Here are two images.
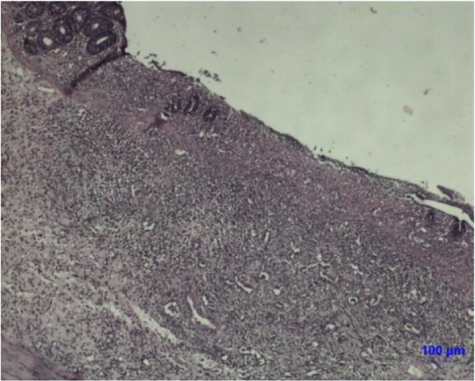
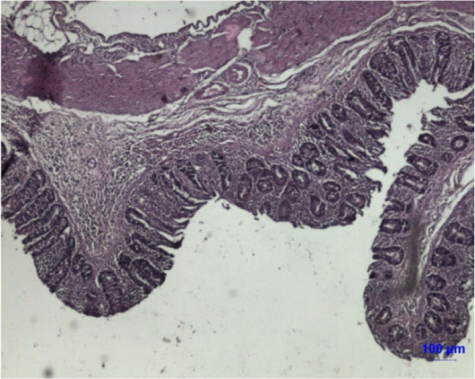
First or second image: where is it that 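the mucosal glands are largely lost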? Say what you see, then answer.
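Second image: rows of glands line the mucosa along the whole section. That points to this answer: the first image.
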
